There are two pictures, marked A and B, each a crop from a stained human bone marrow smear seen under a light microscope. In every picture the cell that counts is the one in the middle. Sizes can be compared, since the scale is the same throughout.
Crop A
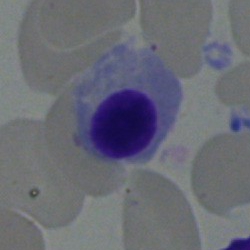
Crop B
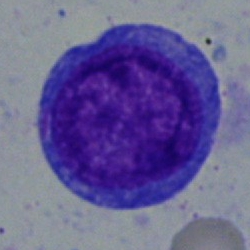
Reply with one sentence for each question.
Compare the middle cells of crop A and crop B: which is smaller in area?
Crop A holds the smaller cell, since the cell in crop B covers about 2.5 times as much area.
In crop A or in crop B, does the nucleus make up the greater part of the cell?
Of the two, the nucleus in crop B makes up the greater part of its cell.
